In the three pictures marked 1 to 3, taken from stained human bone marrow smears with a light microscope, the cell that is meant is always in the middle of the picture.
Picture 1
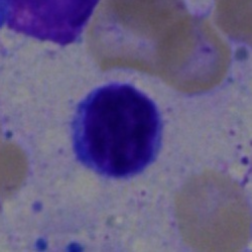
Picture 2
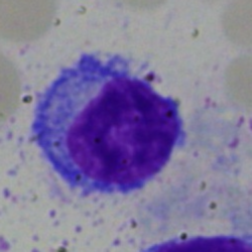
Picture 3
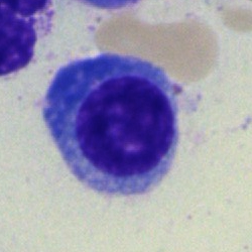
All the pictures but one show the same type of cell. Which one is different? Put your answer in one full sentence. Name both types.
All pictures except 3 show lymphocytes; picture 3 shows a plasma cell.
